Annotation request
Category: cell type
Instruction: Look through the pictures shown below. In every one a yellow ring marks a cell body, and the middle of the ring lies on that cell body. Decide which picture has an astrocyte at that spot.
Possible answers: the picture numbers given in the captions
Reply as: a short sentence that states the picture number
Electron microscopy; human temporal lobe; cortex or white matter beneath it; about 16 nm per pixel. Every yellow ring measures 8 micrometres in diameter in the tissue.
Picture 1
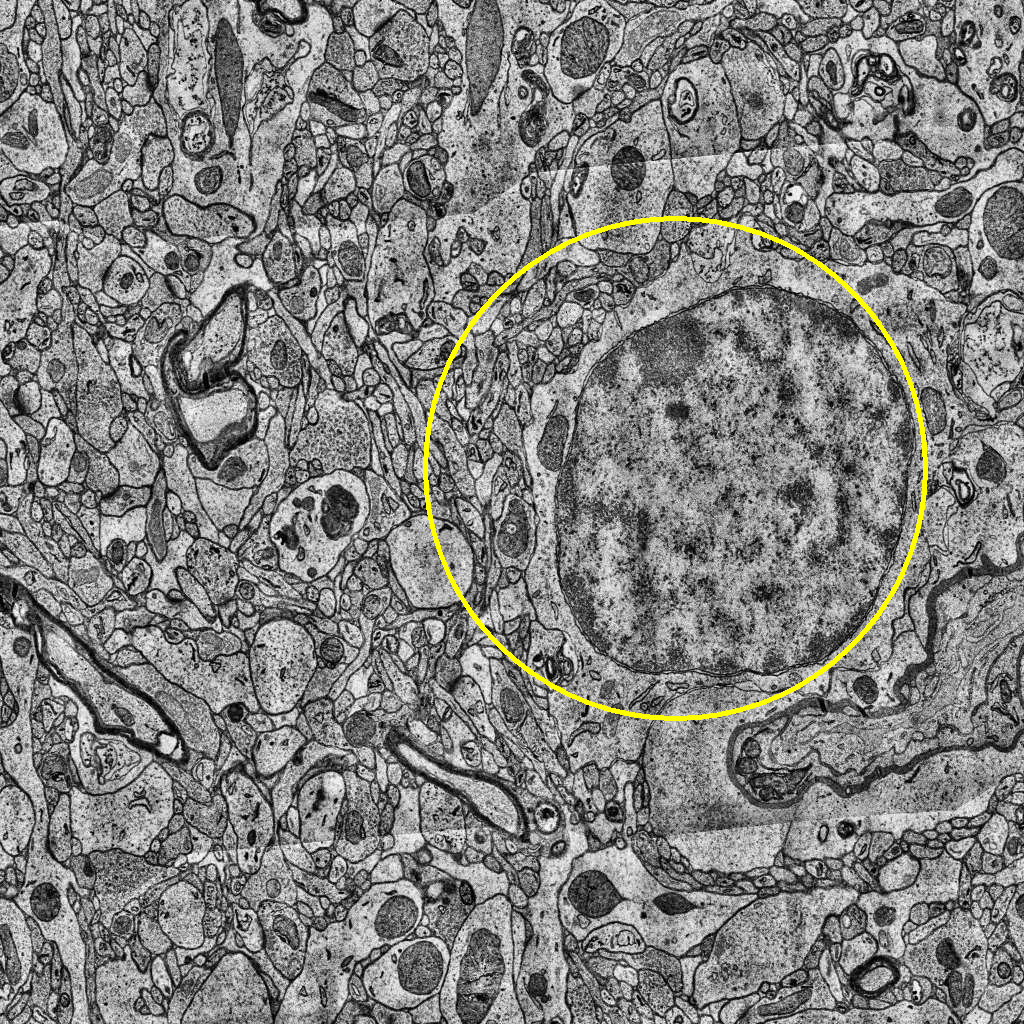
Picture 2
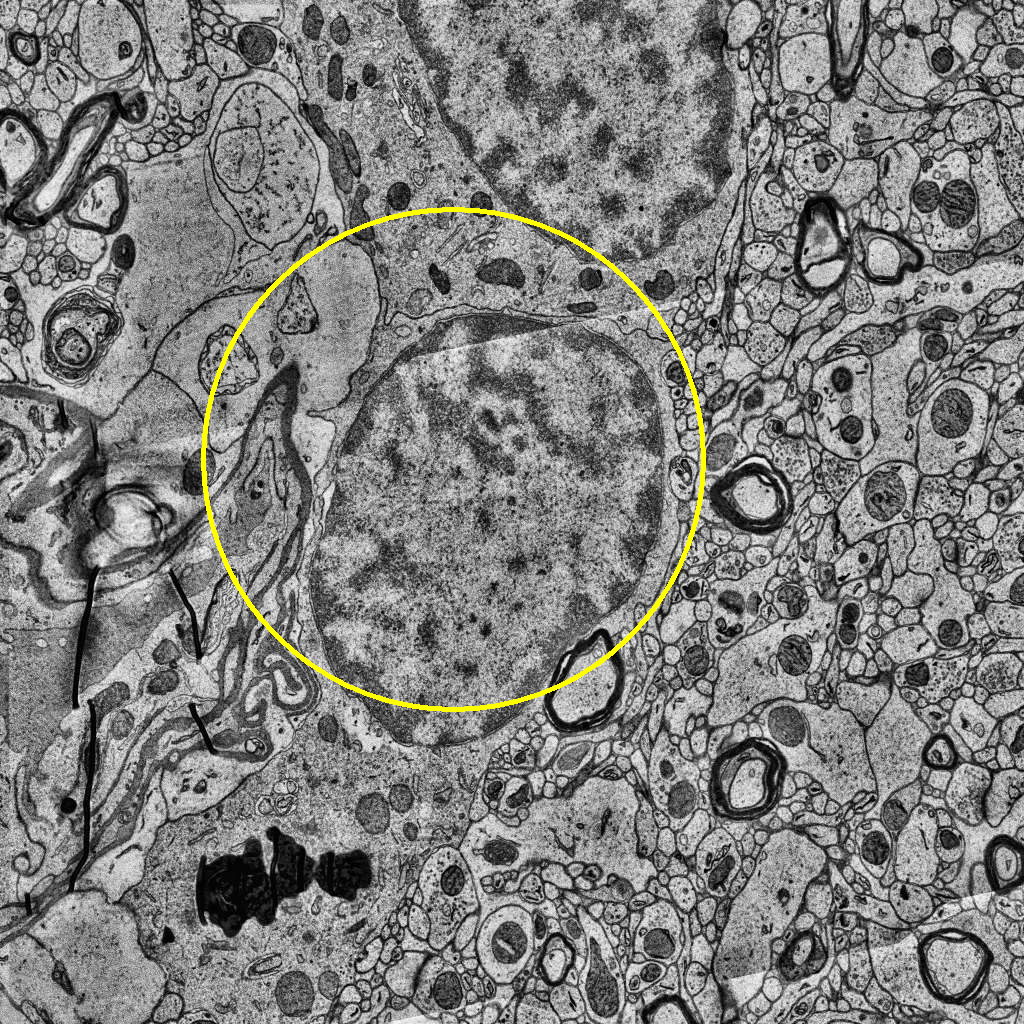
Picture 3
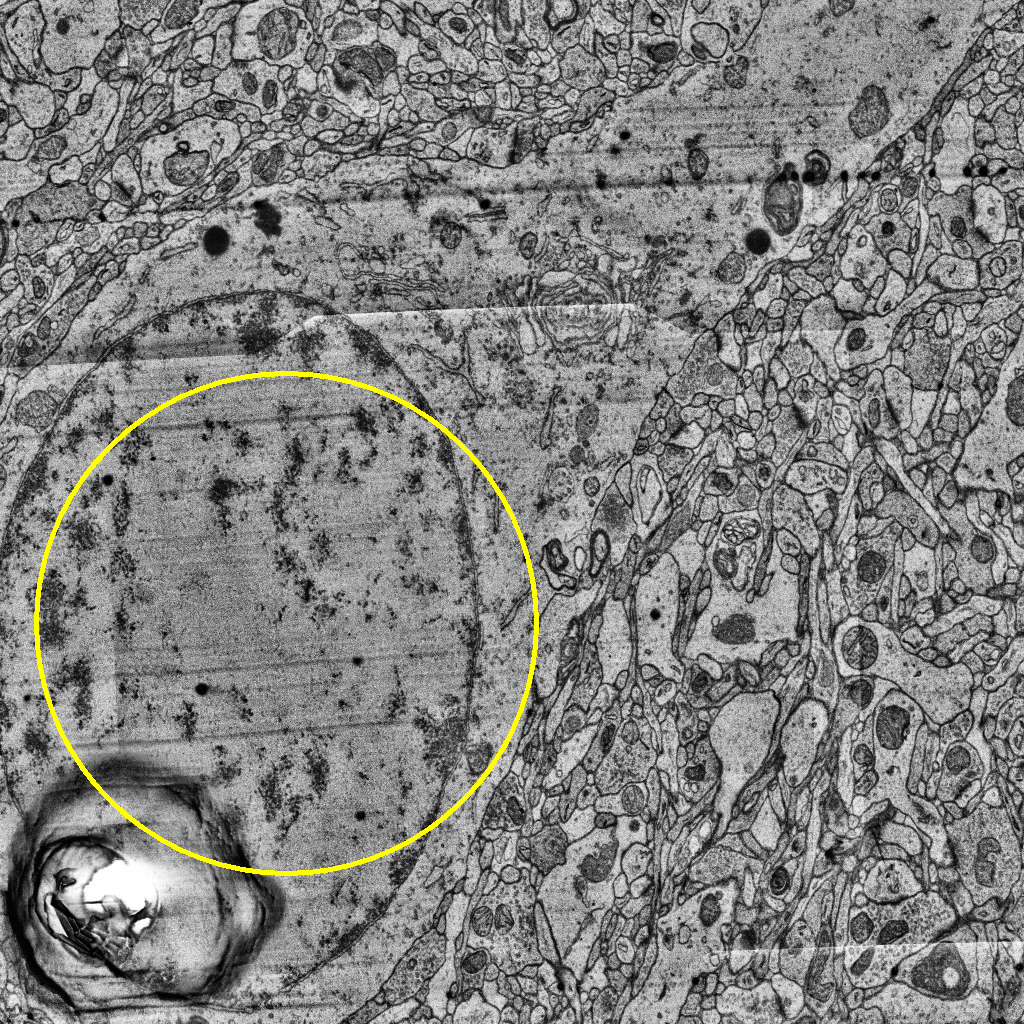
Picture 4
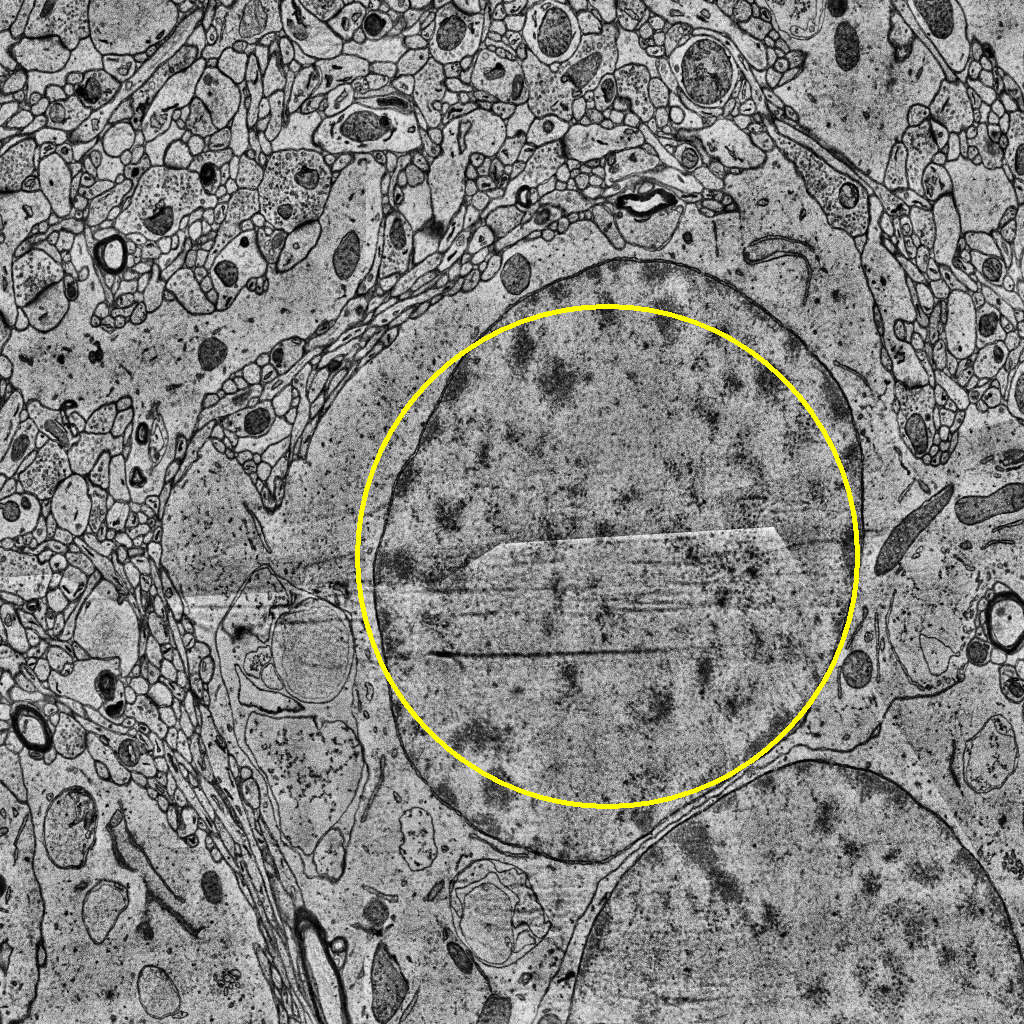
It is in Picture 4.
